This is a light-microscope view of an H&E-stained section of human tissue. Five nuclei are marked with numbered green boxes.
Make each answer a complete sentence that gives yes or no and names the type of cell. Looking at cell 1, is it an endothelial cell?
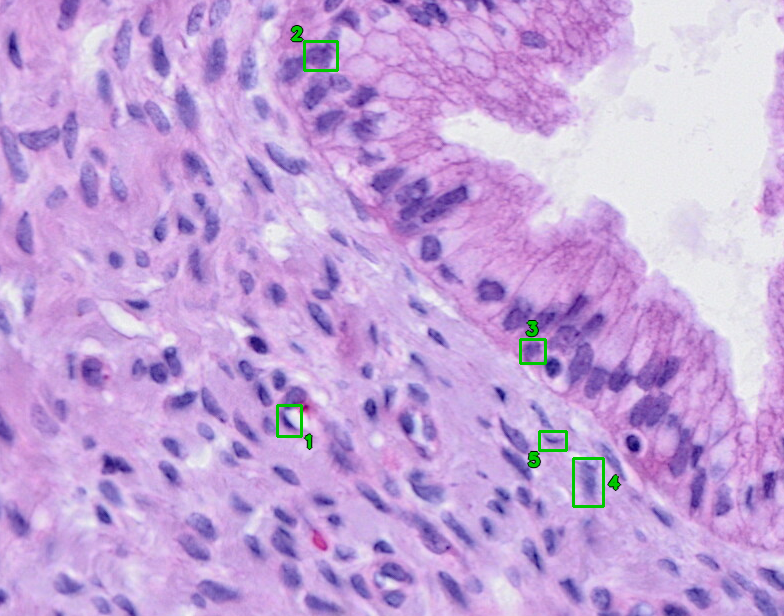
Yes, the one with the number 1 is an endothelial cell.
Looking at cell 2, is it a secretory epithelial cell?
Yes, the one with the number 2 is a secretory epithelial cell.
